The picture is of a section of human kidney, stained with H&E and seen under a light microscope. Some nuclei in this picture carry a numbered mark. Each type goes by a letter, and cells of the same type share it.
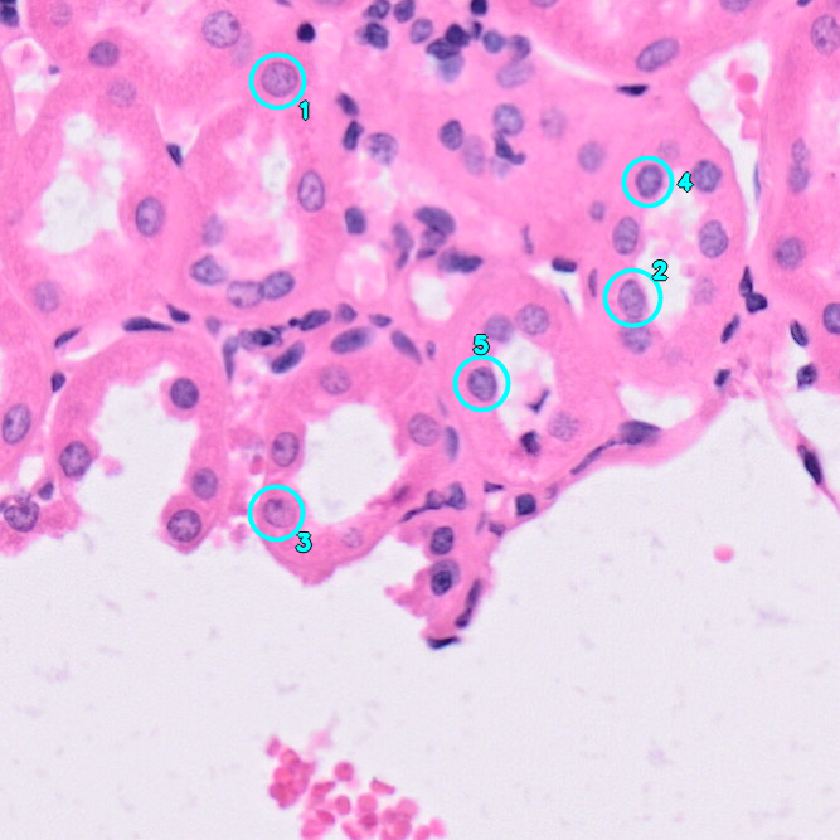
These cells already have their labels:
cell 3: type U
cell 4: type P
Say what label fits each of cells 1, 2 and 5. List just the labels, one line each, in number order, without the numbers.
type U
type P
type P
